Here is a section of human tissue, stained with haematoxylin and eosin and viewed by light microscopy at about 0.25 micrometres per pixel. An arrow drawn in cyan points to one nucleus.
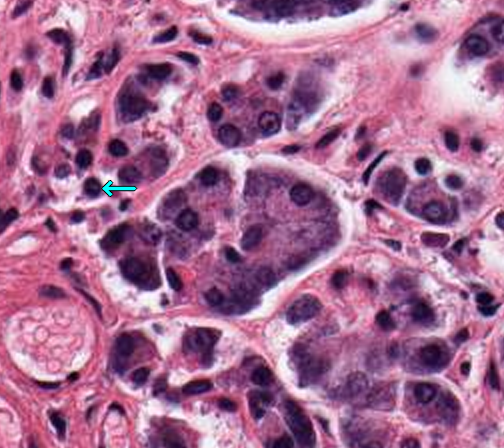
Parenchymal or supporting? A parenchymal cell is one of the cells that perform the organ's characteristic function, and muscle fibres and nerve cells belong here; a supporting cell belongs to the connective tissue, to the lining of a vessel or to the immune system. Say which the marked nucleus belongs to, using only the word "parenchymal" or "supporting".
supporting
